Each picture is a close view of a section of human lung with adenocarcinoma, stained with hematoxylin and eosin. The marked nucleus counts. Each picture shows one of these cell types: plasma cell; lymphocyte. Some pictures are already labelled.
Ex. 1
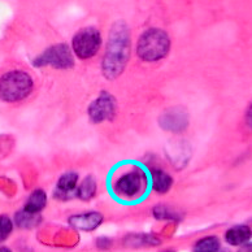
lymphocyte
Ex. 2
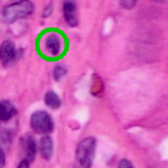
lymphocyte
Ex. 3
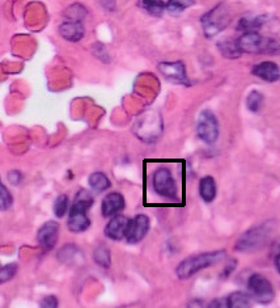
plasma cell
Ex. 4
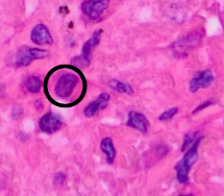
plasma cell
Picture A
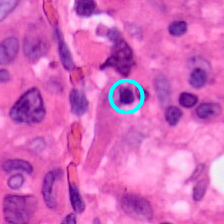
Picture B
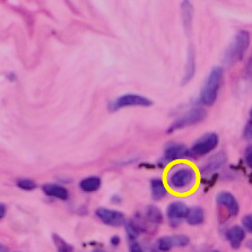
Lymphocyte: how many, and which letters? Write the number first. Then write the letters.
2: A, B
